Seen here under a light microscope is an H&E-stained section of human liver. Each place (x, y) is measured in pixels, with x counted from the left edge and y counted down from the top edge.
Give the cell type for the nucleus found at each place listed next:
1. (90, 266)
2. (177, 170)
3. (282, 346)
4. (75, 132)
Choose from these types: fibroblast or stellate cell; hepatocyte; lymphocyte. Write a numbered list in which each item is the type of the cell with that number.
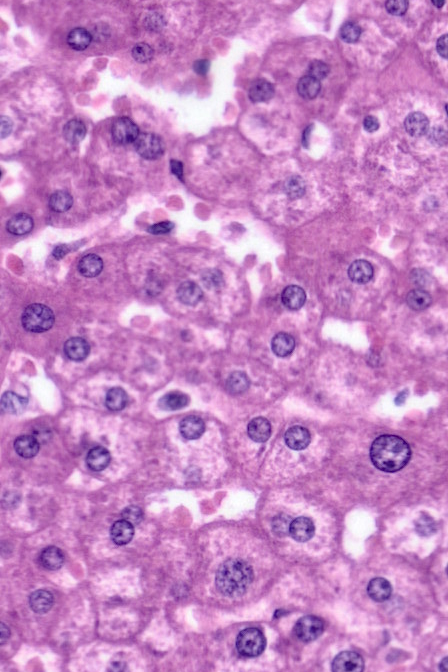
1. hepatocyte
2. fibroblast or stellate cell
3. hepatocyte
4. hepatocyte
